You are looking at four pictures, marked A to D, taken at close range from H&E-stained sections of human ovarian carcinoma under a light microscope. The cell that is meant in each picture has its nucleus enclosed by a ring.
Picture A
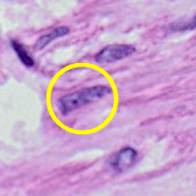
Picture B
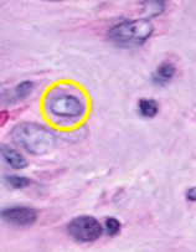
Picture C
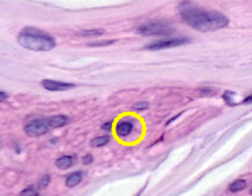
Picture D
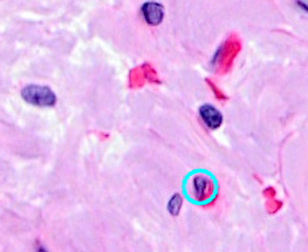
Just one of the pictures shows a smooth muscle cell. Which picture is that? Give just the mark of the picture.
C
